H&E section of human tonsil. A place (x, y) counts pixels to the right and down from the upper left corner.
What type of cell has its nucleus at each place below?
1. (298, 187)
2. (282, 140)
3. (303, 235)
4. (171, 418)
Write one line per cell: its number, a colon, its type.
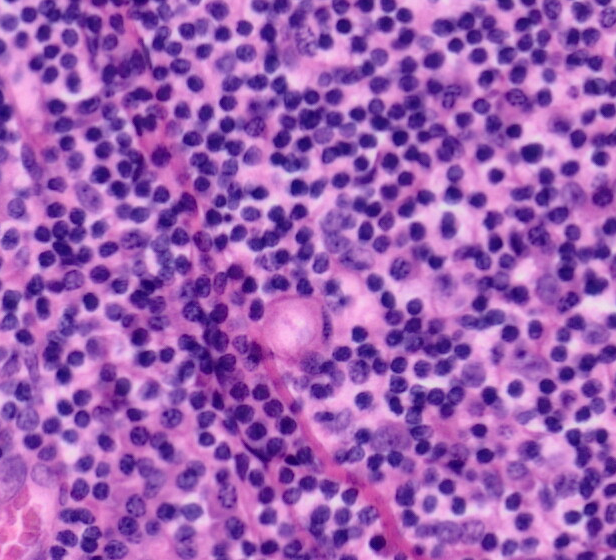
1: small lymphocyte
2: small lymphocyte
3: small lymphocyte
4: plasma cell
